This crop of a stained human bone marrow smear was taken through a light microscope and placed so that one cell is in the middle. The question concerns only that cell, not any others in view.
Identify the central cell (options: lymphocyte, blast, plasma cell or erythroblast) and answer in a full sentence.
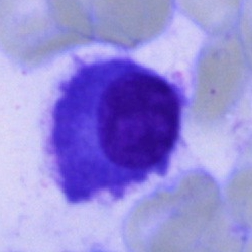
In the middle of this smear crop is a plasma cell.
